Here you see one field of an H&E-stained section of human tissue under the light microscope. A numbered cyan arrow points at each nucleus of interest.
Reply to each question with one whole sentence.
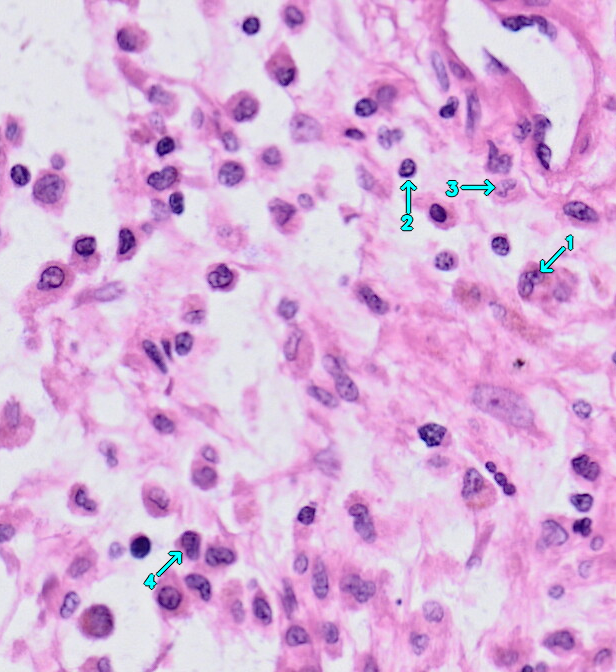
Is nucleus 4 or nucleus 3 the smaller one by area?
Nucleus 3 covers less area, with nucleus 4 about 3 times as large.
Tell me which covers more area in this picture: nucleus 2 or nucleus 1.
Nucleus 1 is larger, with an area about 1.5 times that of nucleus 2.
